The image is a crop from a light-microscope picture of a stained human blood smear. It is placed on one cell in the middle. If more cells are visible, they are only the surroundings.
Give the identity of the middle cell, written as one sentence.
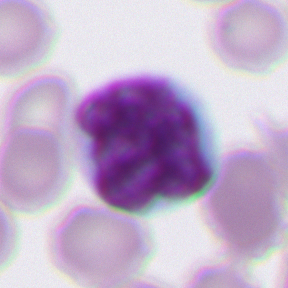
Seen at the centre of the crop is a typical lymphocyte.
